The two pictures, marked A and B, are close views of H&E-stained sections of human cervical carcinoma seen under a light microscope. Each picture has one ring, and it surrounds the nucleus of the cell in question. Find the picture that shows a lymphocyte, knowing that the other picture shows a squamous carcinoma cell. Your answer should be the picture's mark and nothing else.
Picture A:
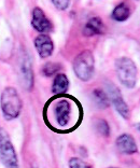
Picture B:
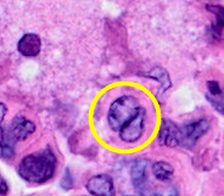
A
